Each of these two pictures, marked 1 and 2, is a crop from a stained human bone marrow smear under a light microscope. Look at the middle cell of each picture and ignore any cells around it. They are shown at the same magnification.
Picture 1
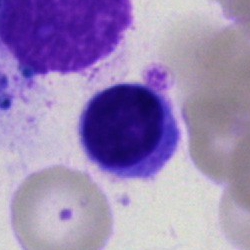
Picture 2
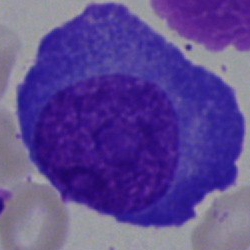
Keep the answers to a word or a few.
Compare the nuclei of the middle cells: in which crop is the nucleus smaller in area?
1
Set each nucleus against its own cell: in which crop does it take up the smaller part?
2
